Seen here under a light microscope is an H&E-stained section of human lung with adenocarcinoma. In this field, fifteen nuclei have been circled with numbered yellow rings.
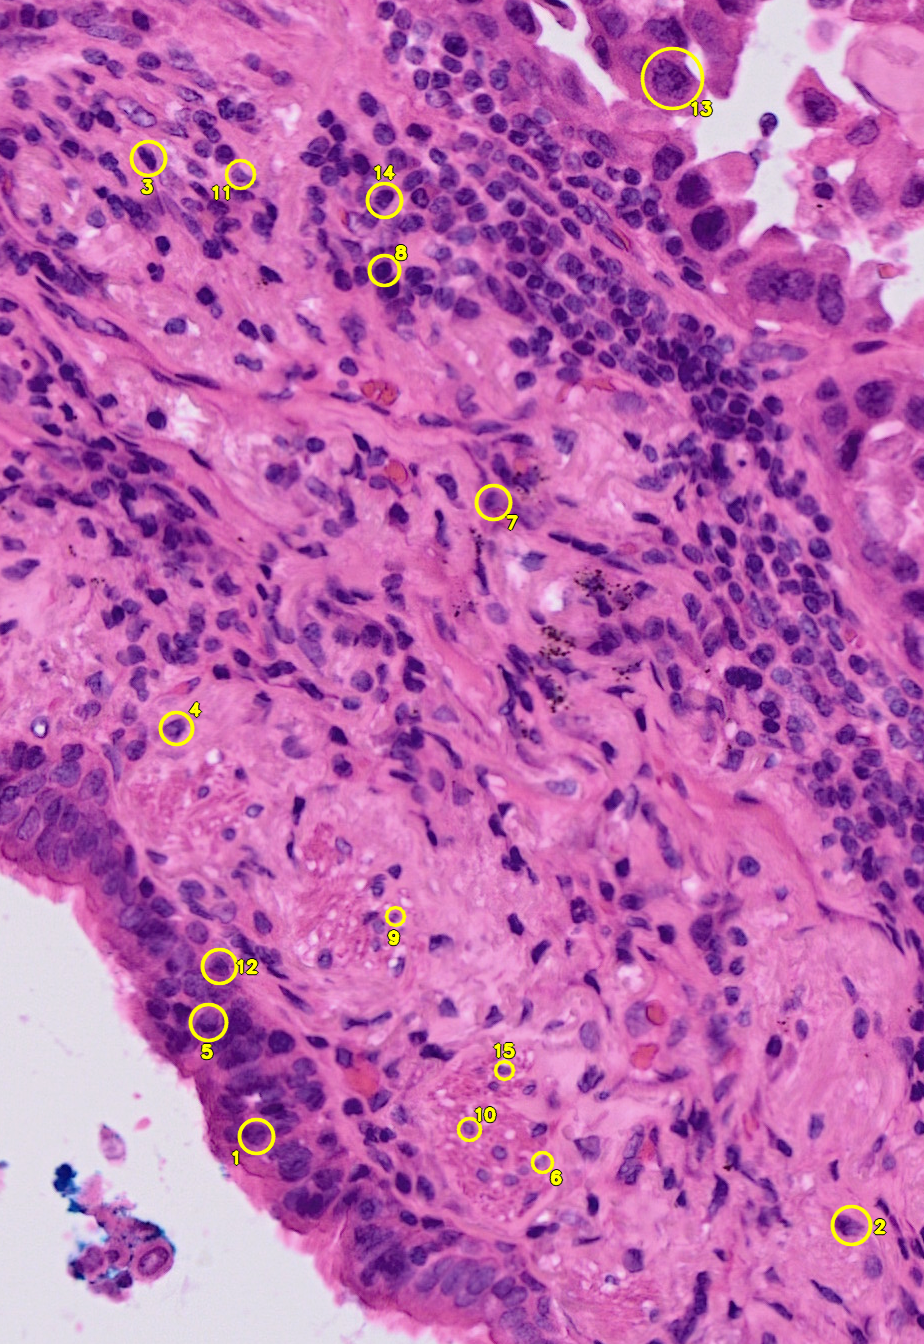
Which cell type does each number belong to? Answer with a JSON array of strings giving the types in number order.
["ciliated epithelial cell", "plasma cell", "lymphocyte", "plasma cell", "ciliated epithelial cell", "smooth muscle cell or pericyte", "plasma cell", "lymphocyte", "smooth muscle cell or pericyte", "smooth muscle cell or pericyte", "lymphocyte", "ciliated epithelial cell", "carcinoma cell", "lymphocyte", "smooth muscle cell or pericyte"]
